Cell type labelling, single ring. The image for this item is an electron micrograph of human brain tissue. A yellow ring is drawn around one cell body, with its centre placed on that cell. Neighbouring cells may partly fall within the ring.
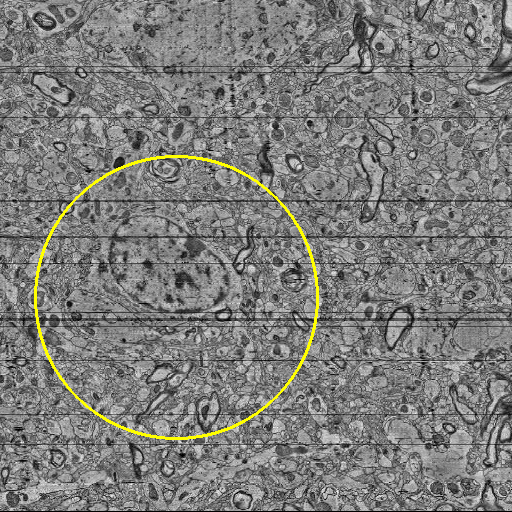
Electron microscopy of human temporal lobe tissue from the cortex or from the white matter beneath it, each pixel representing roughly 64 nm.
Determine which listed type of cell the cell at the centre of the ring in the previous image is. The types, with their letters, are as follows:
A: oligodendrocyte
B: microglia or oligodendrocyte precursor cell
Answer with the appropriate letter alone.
B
